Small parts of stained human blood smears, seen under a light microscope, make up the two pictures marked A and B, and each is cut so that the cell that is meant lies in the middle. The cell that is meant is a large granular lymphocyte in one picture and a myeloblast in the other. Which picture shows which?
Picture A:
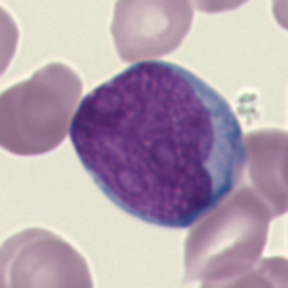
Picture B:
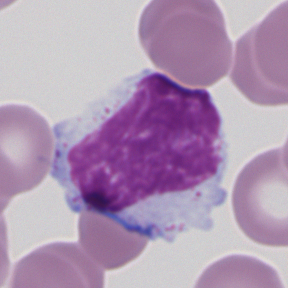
A: myeloblast
B: large granular lymphocyte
